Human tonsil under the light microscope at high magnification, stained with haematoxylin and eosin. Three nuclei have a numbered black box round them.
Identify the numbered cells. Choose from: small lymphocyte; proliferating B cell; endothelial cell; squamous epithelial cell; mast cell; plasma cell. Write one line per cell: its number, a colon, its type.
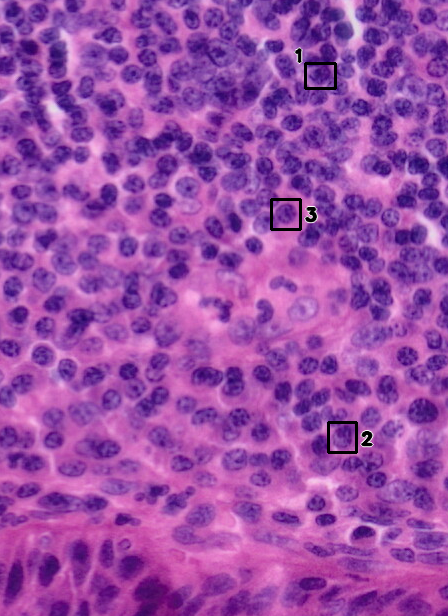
1: small lymphocyte
2: plasma cell
3: plasma cell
